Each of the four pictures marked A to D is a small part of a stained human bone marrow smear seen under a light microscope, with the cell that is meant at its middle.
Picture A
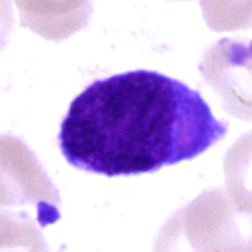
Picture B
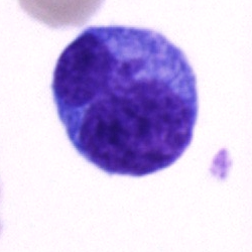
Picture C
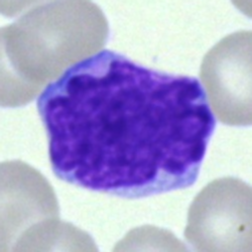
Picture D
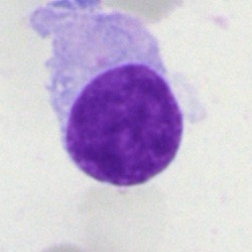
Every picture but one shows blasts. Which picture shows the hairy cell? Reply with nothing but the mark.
D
